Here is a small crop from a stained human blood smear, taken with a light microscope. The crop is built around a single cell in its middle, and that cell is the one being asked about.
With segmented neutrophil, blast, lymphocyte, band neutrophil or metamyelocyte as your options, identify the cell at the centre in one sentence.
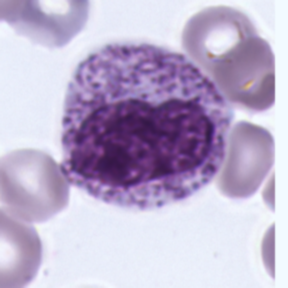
At the crop's centre, the cell is a metamyelocyte.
